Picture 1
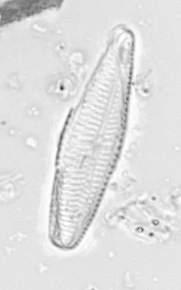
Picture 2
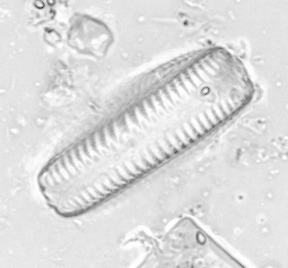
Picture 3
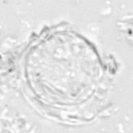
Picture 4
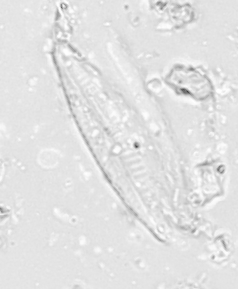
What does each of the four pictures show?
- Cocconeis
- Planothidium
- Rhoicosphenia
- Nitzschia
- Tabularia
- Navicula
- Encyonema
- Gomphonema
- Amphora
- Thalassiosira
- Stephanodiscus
1: Gomphonema
2: Encyonema
3: Stephanodiscus
4: Navicula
